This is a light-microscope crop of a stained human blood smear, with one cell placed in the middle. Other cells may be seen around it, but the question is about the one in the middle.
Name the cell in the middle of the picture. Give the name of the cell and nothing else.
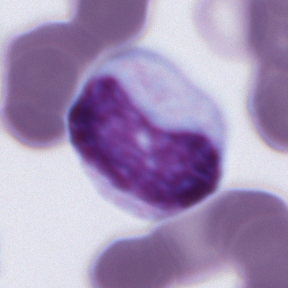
band neutrophil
